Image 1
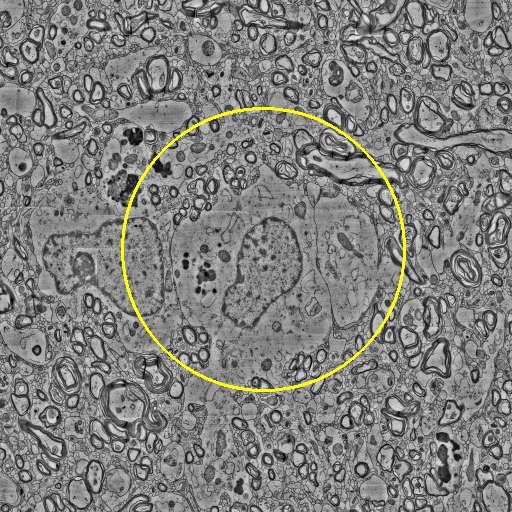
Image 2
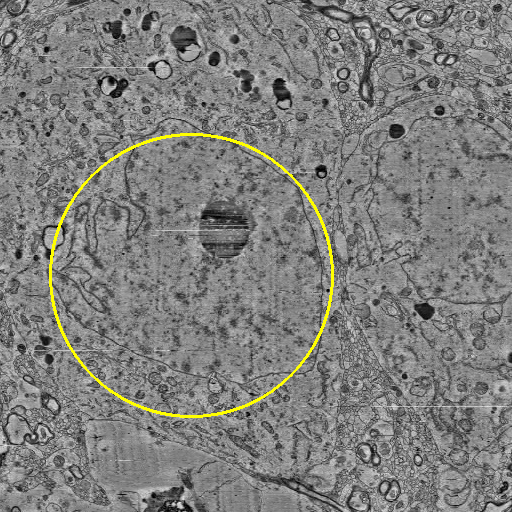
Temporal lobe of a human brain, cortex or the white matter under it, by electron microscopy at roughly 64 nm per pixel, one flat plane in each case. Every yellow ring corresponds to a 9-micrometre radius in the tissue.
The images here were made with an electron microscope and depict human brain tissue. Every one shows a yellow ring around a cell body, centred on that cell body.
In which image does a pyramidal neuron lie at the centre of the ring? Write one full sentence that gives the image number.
My answer is image 2, where the asked-for cell sits at the centre of the ring.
